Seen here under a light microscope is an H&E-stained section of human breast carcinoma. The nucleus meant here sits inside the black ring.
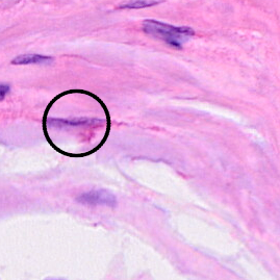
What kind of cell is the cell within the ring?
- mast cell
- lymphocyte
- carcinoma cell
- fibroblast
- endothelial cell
fibroblast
